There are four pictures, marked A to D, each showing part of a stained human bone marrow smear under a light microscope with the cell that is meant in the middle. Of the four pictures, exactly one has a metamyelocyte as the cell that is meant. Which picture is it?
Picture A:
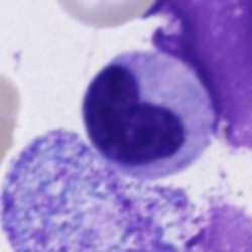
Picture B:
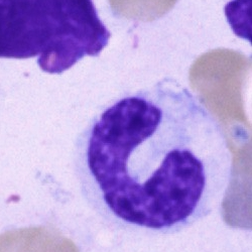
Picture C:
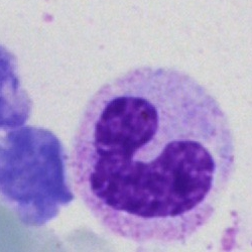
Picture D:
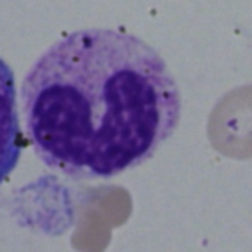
A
